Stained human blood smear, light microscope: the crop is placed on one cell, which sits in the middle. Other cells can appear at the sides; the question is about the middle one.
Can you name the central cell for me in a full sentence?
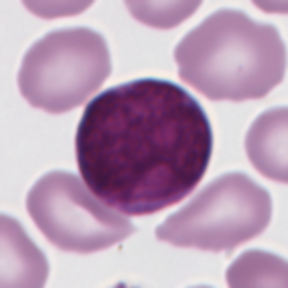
Regarding the central cell, it is a blast.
